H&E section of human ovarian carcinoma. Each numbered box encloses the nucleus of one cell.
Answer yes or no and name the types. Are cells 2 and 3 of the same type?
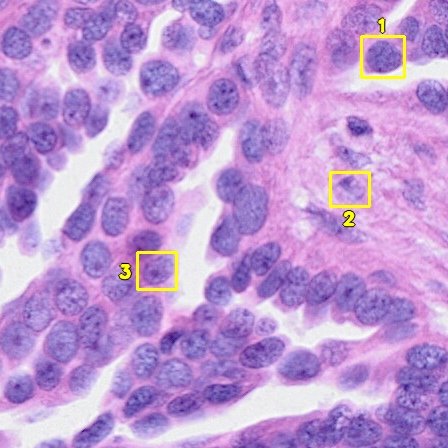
No, a fibroblast is what cell 2 is, and a carcinoma cell is what cell 3 is.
